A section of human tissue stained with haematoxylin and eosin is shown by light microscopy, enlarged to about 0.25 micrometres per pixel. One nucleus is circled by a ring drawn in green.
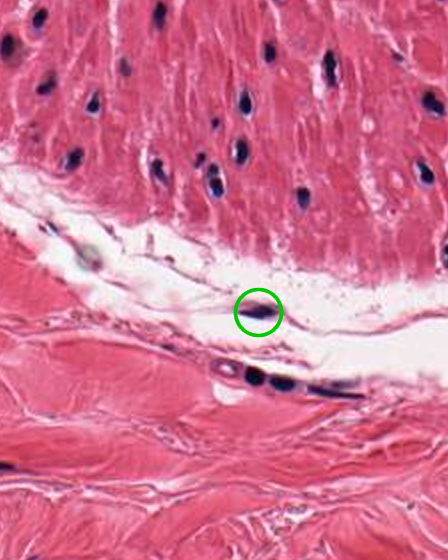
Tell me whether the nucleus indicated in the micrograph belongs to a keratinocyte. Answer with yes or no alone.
no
